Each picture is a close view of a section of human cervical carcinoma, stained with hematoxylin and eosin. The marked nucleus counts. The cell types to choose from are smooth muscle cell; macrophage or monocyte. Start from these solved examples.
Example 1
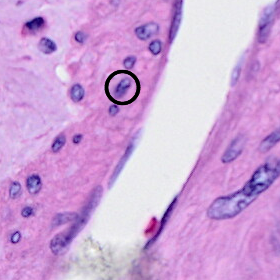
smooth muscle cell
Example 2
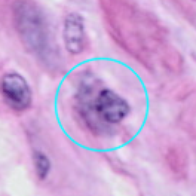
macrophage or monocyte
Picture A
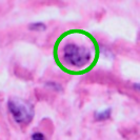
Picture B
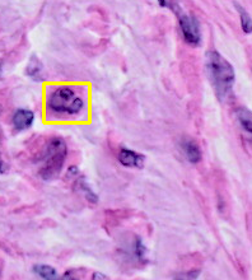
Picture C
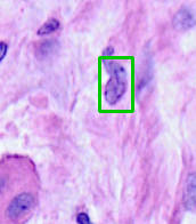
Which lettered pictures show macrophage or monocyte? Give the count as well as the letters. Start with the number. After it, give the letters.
Count: 3 (A, B, C)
